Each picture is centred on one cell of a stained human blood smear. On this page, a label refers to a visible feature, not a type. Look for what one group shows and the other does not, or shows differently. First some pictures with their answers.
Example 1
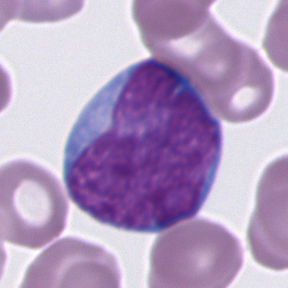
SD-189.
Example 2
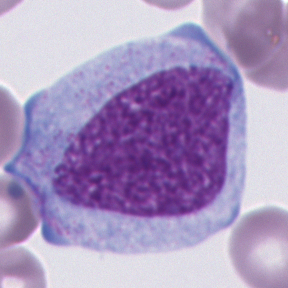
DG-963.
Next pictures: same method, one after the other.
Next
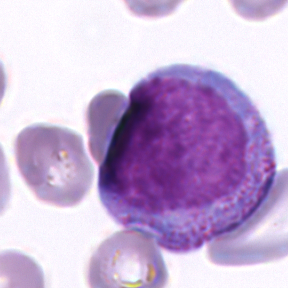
SD-189.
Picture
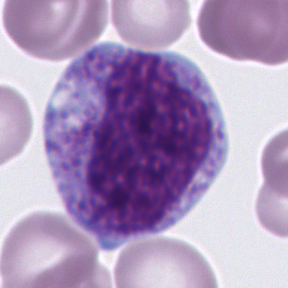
DG-963.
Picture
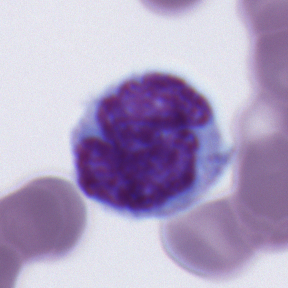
SD-189.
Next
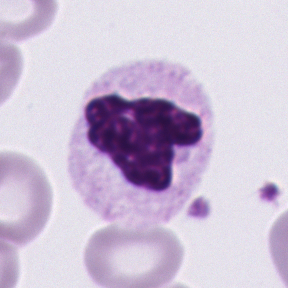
SD-189.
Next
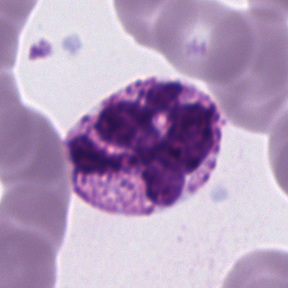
SD-189.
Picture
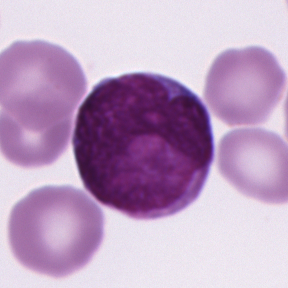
SD-189.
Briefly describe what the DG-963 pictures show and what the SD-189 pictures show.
DG-963, ragged outline or projections; SD-189, smooth outline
